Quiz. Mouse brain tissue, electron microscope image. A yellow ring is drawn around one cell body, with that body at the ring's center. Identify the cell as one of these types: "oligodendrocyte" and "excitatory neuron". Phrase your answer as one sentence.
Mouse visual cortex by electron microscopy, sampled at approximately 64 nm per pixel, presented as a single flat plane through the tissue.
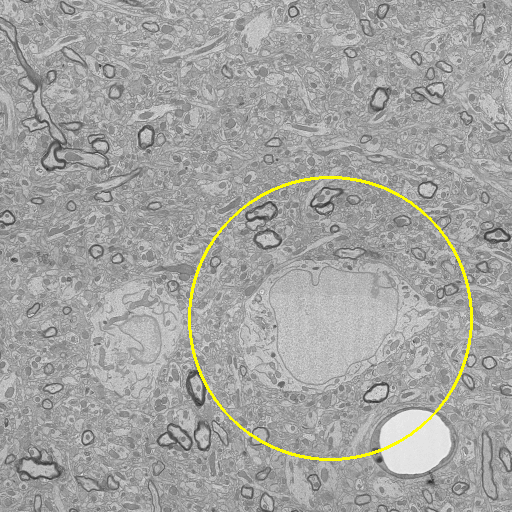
At the center of the ring sits an excitatory neuron.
